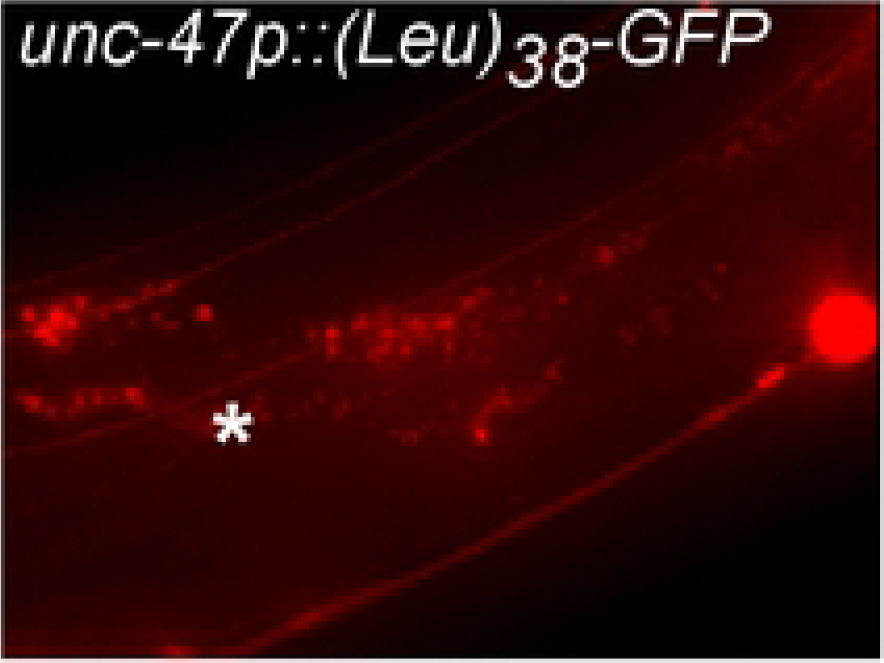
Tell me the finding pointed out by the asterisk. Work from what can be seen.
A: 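A long longitudinal process runs along the top and one along the bottom.
Answer: a commissure which fails to reach the dorsal side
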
